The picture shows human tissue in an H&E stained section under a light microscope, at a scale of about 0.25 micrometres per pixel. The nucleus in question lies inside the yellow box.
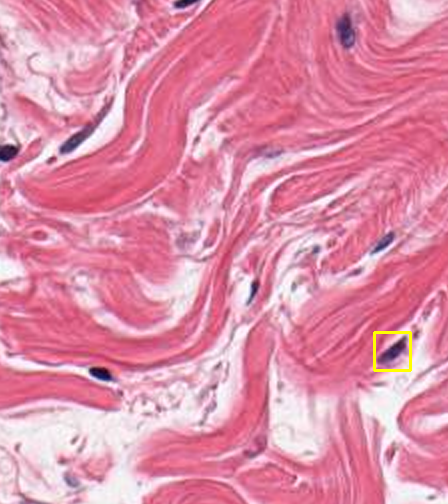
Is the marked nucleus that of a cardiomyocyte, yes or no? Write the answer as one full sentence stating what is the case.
No, instead of a cardiomyocyte, a supporting cell is what the marked nucleus belongs to.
